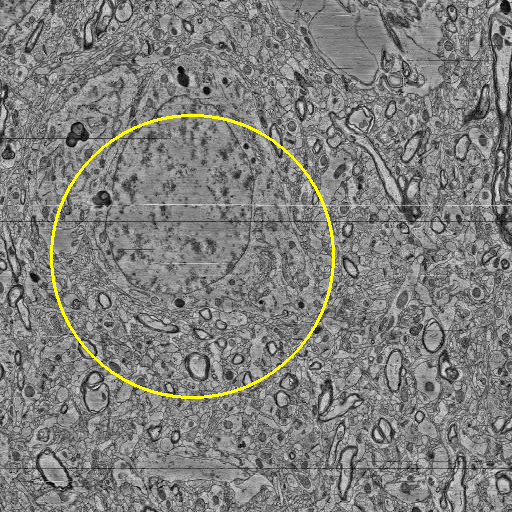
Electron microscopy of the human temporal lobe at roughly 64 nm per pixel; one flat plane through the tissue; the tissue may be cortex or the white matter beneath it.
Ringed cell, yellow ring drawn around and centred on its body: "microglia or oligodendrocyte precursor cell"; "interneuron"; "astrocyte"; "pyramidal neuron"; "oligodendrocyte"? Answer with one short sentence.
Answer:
This ringed cell is a pyramidal neuron.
